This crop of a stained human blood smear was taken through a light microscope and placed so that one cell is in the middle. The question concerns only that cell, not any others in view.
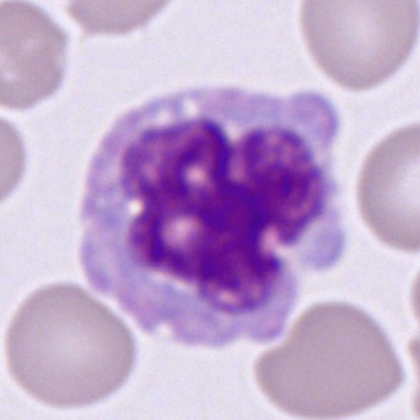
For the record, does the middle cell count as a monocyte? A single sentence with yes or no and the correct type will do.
Yes, the central cell here is a monocyte.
